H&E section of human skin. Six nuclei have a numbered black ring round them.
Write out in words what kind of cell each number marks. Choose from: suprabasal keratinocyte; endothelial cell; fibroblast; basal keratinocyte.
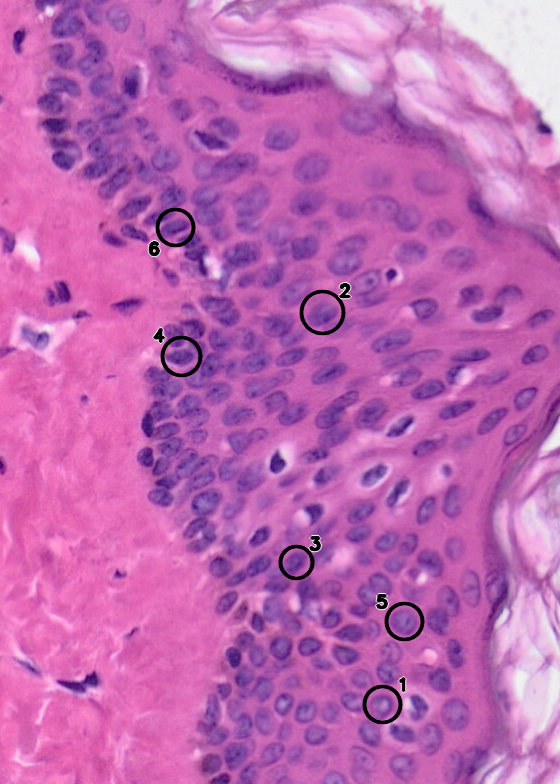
Cell 1 is a suprabasal keratinocyte, cell 2 is a suprabasal keratinocyte, cell 3 is a suprabasal keratinocyte, cell 4 is a basal keratinocyte, cell 5 is a suprabasal keratinocyte and cell 6 is a basal keratinocyte.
